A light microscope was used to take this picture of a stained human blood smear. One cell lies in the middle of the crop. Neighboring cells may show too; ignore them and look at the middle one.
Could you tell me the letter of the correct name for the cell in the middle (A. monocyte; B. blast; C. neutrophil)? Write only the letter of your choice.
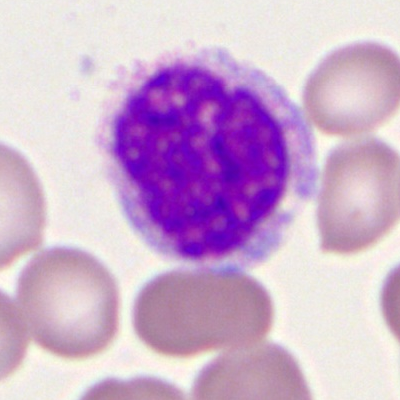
A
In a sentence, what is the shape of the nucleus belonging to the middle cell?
Worth pointing out that its nucleus is one compact mass, round, oval or reniform.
